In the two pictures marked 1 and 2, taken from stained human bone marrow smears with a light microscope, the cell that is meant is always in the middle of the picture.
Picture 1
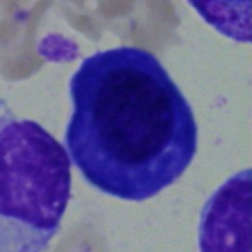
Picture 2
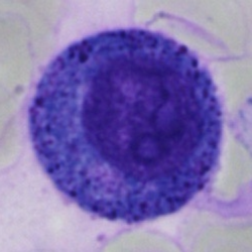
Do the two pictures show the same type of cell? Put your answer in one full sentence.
No, they differ: the cell is a plasma cell in picture 1 and a proerythroblast in picture 2.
